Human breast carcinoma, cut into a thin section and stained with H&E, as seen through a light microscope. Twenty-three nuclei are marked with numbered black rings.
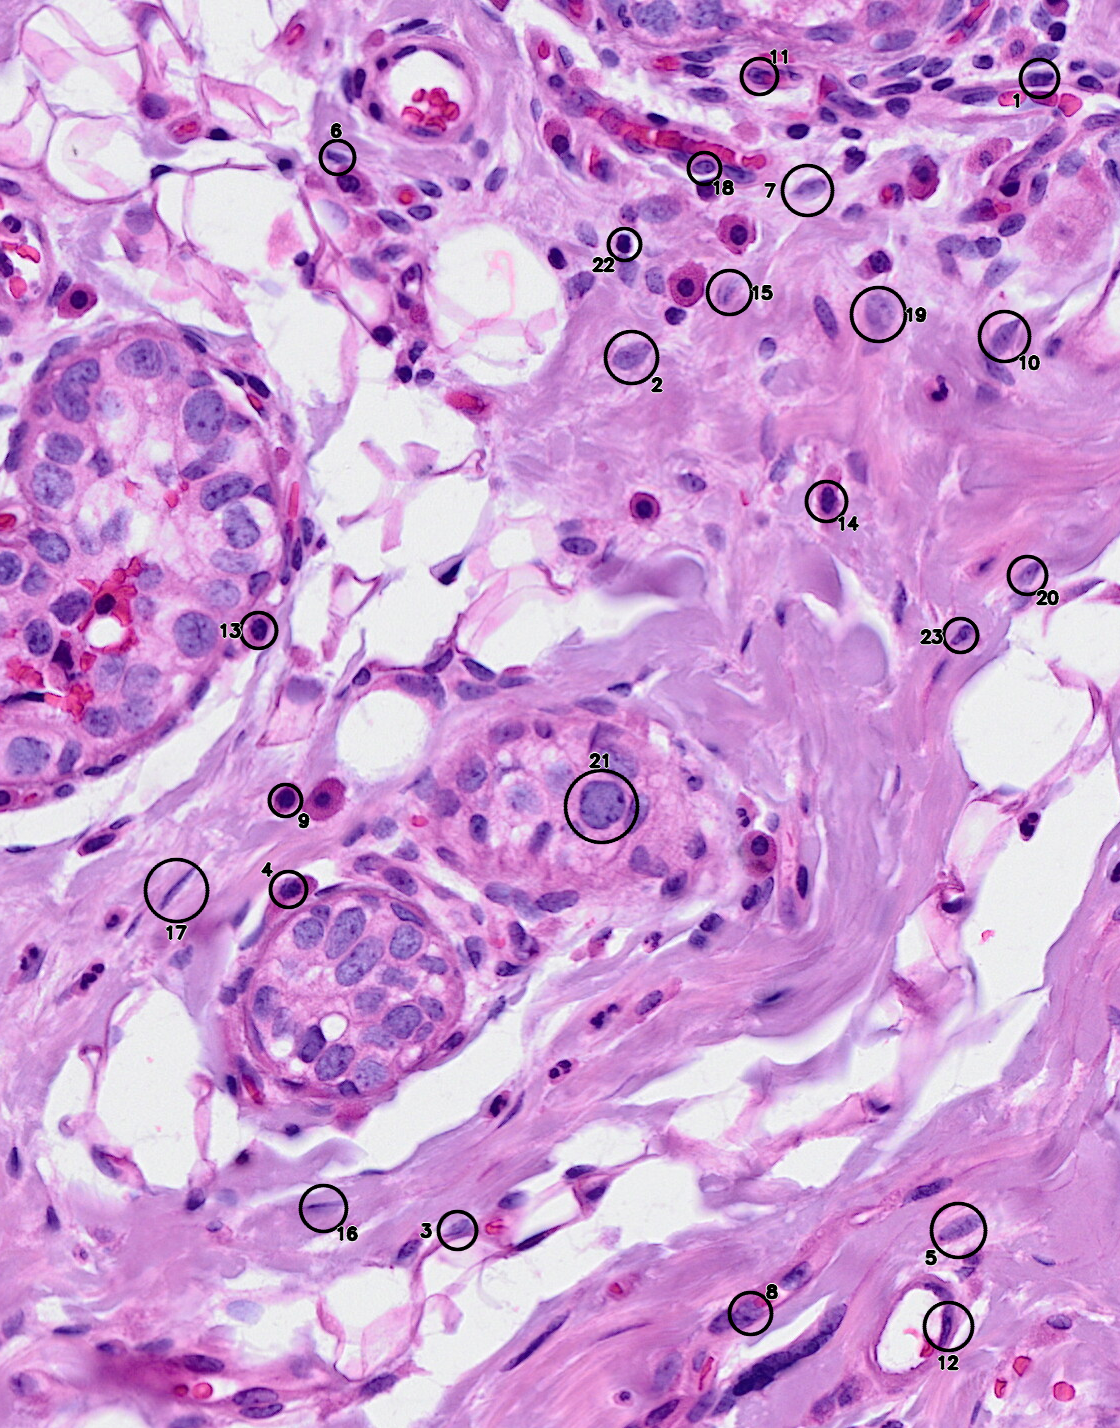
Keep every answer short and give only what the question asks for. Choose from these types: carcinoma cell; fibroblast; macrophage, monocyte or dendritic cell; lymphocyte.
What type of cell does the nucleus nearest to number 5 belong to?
macrophage, monocyte or dendritic cell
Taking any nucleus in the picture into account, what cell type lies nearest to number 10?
fibroblast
